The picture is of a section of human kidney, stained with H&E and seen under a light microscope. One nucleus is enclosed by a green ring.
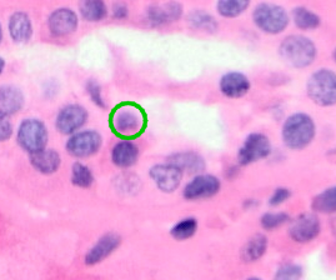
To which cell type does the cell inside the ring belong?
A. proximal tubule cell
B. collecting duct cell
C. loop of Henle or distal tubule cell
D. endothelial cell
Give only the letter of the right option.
B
